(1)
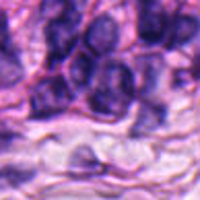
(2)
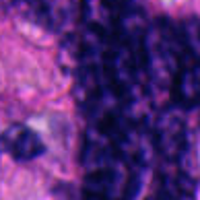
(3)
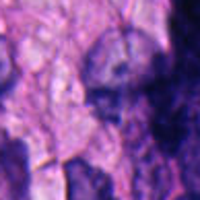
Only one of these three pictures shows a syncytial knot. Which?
Picture 2.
